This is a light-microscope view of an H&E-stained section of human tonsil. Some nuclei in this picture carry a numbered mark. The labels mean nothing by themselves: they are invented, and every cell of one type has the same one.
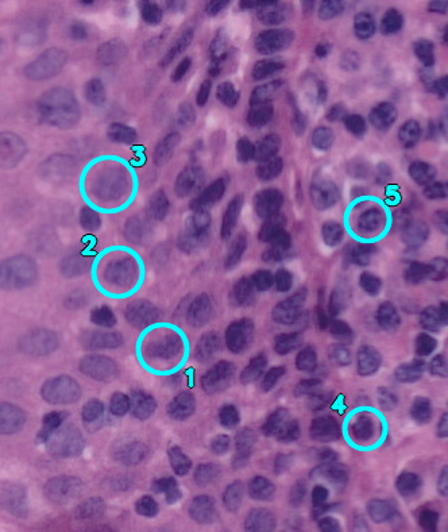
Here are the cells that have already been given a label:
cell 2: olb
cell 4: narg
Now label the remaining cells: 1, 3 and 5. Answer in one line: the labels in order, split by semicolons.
olb; olb; narg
